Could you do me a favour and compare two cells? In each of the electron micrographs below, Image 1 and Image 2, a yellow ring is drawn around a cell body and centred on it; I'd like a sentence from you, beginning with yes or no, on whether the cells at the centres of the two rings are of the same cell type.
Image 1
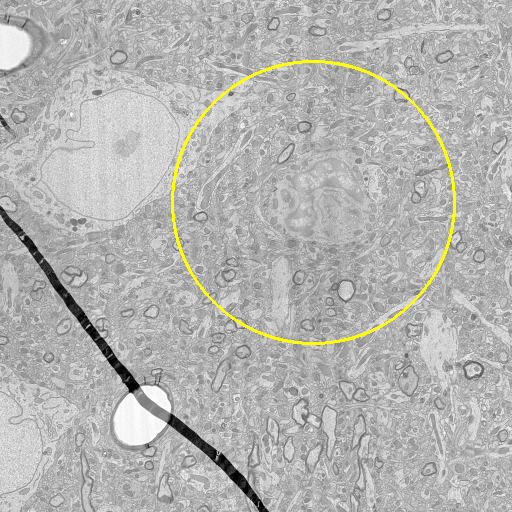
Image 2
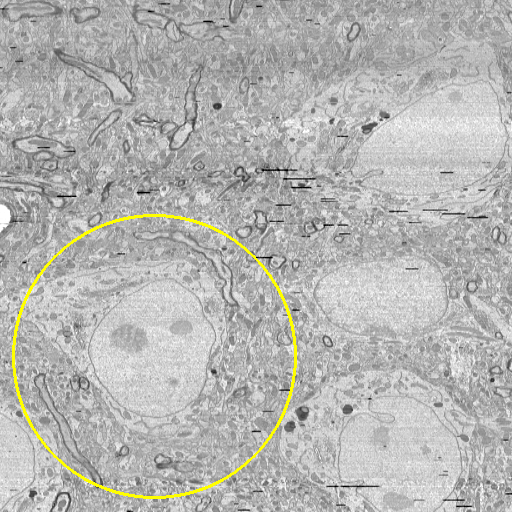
No, the two cells are of two cell types.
